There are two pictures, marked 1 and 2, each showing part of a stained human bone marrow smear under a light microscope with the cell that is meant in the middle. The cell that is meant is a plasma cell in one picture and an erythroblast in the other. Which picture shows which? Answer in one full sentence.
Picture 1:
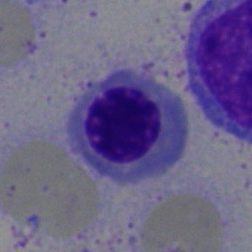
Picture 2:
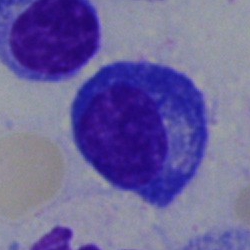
Picture 1 is of an erythroblast, and picture 2 is of a plasma cell.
